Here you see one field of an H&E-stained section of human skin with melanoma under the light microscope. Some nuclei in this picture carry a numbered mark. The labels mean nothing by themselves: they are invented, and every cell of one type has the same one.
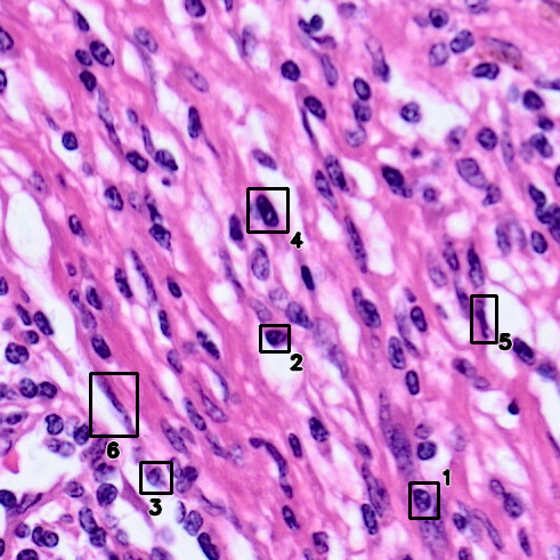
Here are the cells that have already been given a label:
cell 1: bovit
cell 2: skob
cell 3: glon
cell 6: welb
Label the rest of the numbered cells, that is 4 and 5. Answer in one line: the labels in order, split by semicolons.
skob; welb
